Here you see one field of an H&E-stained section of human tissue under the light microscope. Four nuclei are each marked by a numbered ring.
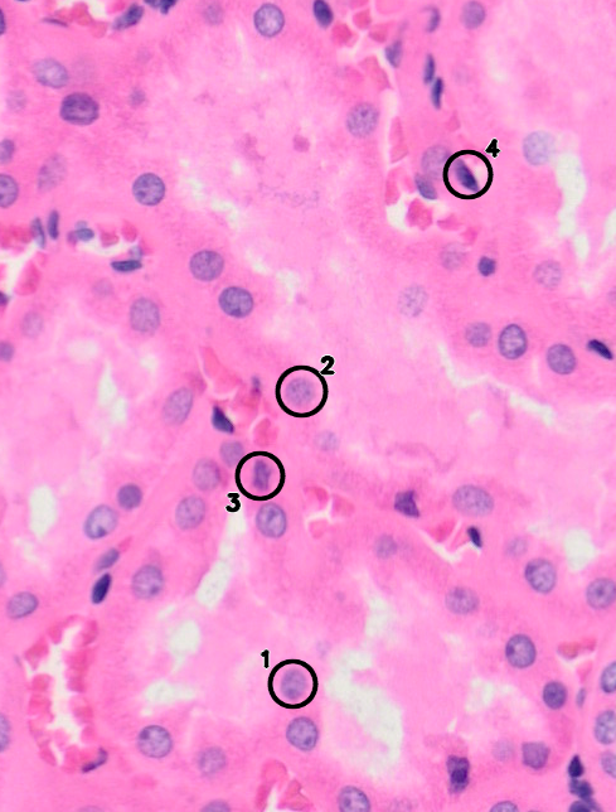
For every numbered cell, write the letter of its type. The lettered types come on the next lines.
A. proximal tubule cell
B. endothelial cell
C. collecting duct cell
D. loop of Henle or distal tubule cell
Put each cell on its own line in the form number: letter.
1: A
2: A
3: A
4: B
